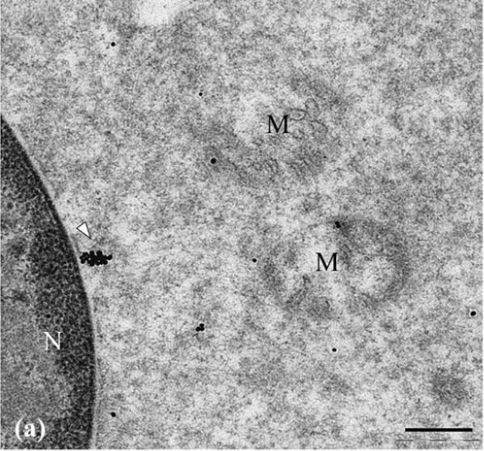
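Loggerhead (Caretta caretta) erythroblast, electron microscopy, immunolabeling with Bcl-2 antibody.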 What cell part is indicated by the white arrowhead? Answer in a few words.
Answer: Nuclear membrane.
